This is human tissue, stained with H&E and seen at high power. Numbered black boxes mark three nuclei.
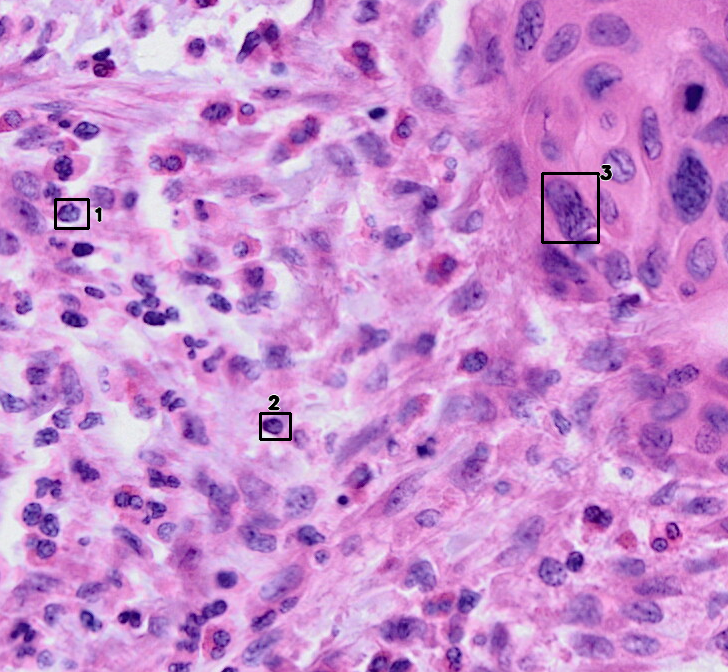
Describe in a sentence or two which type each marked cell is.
Cell 1 is a lymphocyte, cell 2 is a lymphocyte and cell 3 is a squamous carcinoma cell.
